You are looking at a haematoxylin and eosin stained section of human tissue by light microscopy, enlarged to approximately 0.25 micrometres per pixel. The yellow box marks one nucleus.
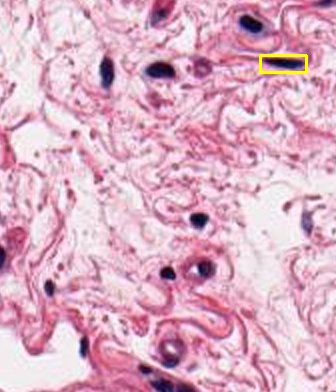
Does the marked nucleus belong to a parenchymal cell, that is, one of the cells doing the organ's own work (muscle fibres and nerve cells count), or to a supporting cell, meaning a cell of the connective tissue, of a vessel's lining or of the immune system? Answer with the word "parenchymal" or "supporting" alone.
supporting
